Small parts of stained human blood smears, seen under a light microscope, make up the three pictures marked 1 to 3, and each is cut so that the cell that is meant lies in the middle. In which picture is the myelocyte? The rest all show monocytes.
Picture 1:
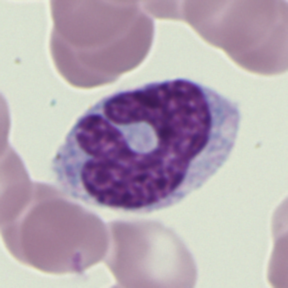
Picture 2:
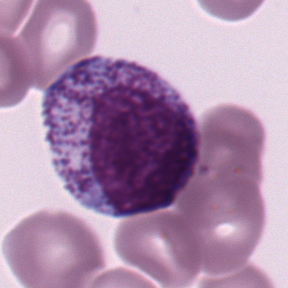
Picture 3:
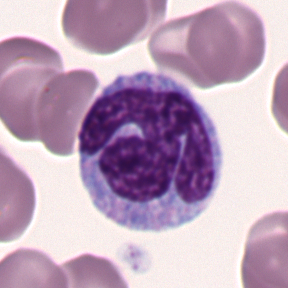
2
